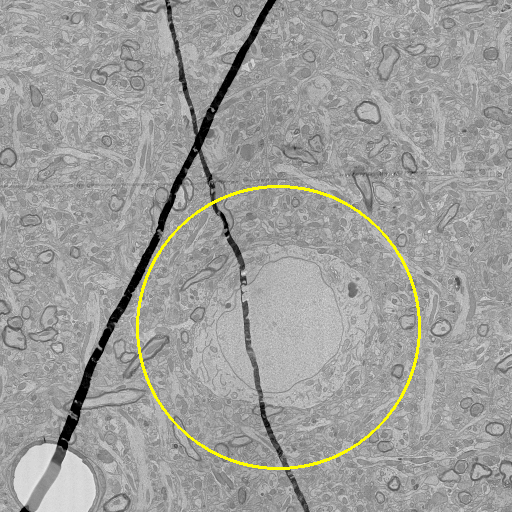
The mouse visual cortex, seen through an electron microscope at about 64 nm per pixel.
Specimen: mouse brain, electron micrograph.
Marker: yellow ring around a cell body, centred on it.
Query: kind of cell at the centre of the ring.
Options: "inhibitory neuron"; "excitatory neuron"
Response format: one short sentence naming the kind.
This cell body belongs to an excitatory neuron.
